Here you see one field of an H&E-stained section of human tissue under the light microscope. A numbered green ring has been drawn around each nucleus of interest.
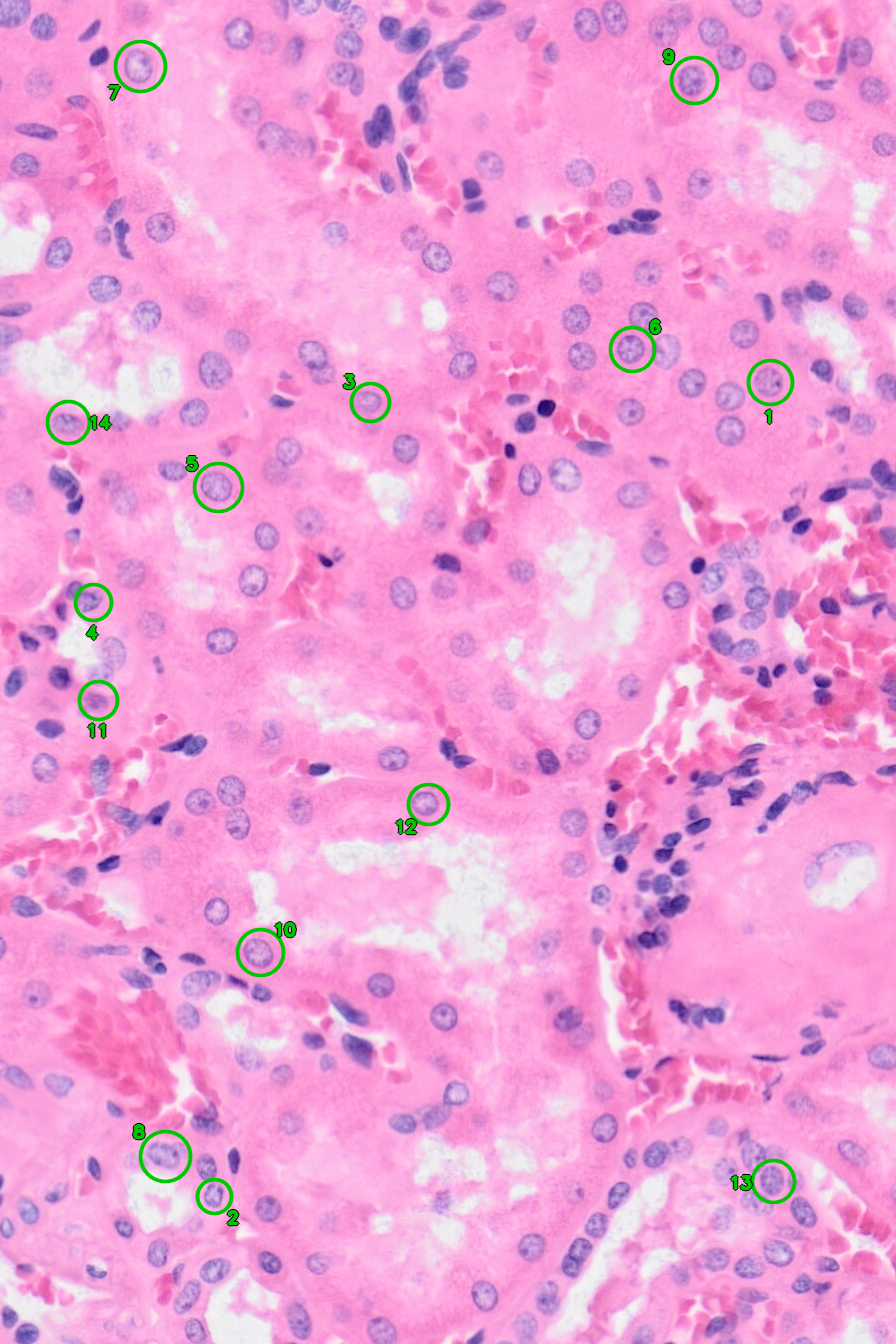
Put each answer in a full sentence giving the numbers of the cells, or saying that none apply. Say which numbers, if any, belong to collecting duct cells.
Cells 2, 4, 8, 11 and 13 in the section are typed as collecting duct cells.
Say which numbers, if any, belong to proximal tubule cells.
The cells tagged 1, 3, 5, 6, 7, 9, 10 and 12 are proximal tubule cells in this tissue section.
